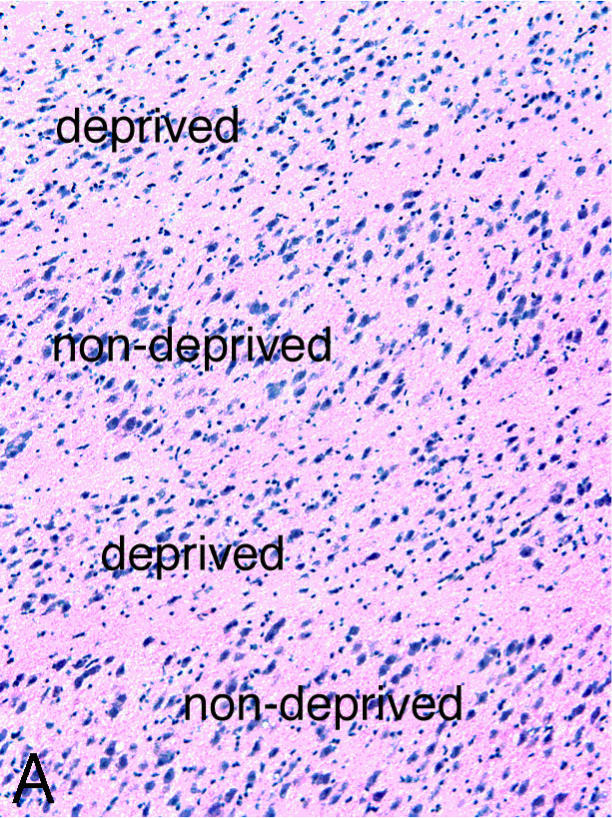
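This section of the lateral geniculate nucleus shows neurons arranged in alternating bands that run diagonally across a pale pink neuropil. The cell bodies and nuclei stain dark blue to purple against the eosin-pink background. In some bands the neurons are larger and more plump, with visible stained cytoplasm around the nucleus. In the alternating bands the neurons are smaller and shrunken, and the cells there look more like small dark dots. Between the bands the neuropil is paler and contains fewer cell bodies.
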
